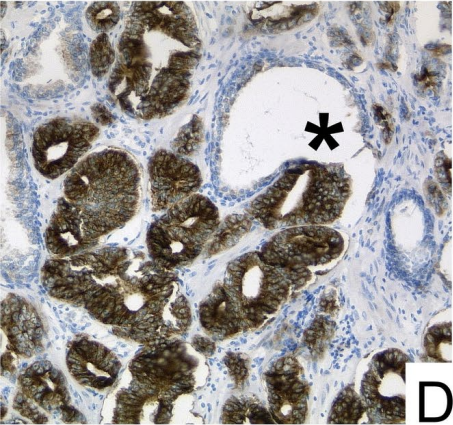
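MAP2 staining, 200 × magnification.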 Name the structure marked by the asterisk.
benign glandular tissue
